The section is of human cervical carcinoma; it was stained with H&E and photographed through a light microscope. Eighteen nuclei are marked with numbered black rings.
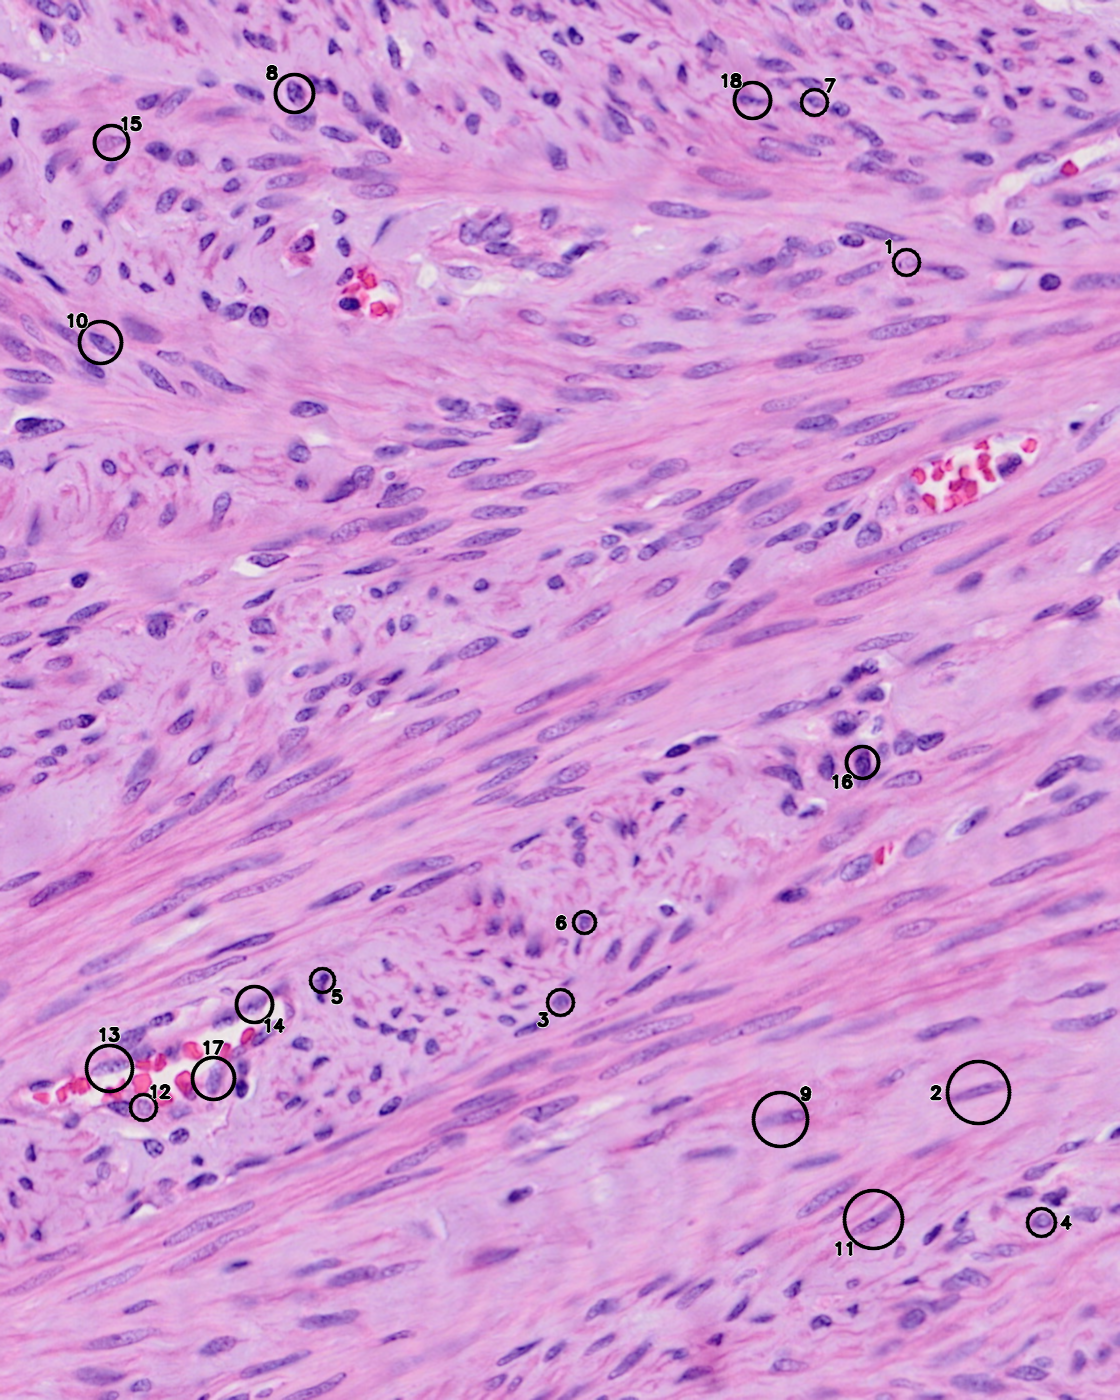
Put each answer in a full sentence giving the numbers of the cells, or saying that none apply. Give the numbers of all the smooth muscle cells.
In terms of cell type, cells 1, 2, 3, 4, 6, 7, 9, 11, 15 and 18 are smooth muscle cells.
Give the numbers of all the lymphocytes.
The cells tagged with numbers 8 and 16 are lymphocytes.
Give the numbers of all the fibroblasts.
The cells bearing the numbers 5 and 10 are fibroblasts.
